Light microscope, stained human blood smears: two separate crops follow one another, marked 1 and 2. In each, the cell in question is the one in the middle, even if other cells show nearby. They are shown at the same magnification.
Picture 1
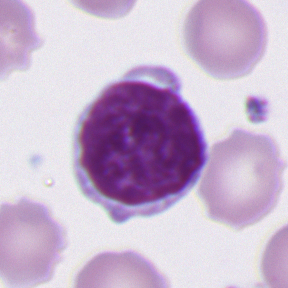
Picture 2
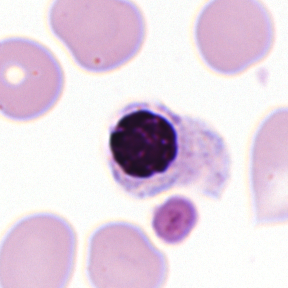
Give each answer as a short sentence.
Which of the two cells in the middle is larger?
The cell in picture 1 is larger, with about 2 times the area of the one in picture 2.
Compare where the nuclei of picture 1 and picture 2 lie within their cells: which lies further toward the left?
Seen within its cell, the nucleus in picture 2 lies further toward the left.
